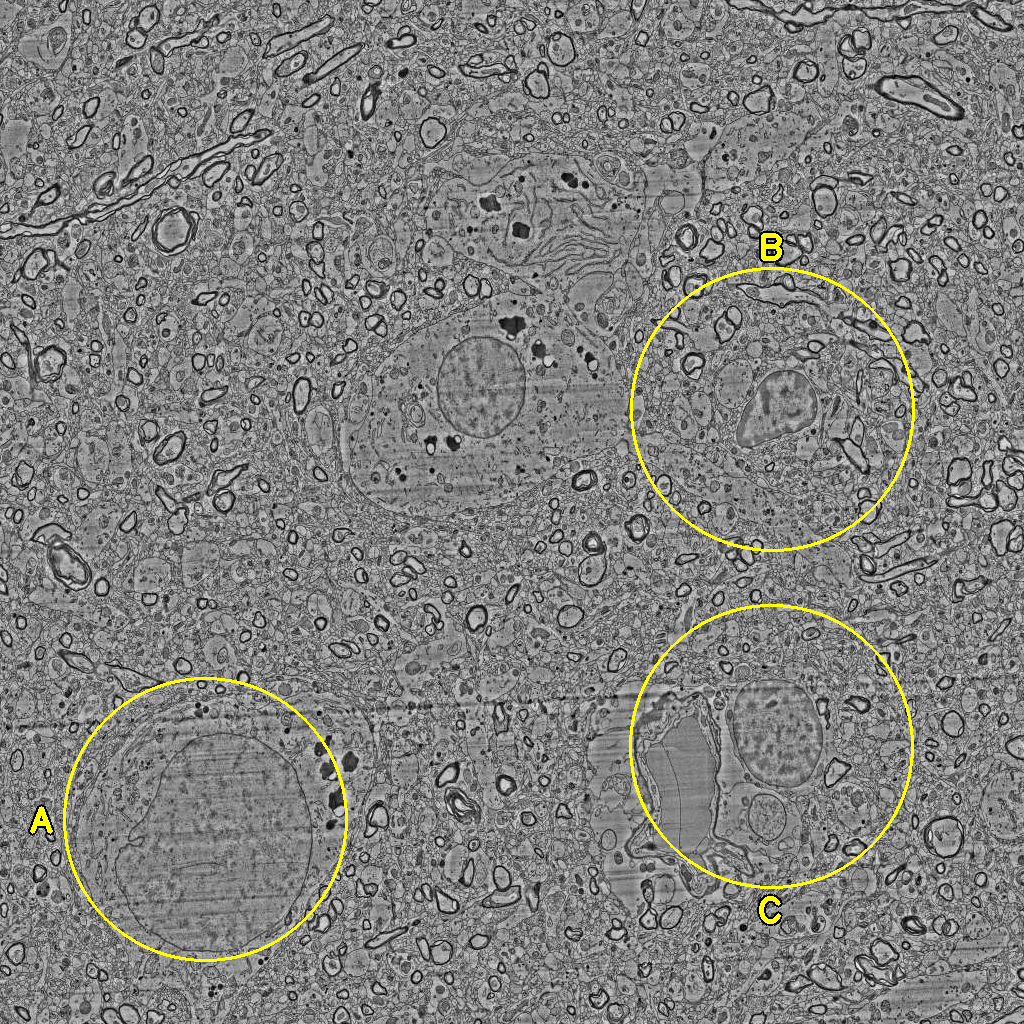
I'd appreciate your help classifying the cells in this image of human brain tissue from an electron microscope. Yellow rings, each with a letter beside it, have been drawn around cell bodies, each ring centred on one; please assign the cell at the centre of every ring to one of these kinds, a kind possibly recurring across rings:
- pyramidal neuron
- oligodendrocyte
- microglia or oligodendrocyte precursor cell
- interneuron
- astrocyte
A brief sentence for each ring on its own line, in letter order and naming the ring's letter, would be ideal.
In ring A, the central cell is a pyramidal neuron.
In ring B, the central cell is a microglial cell or oligodendrocyte precursor cell.
In ring C, the central cell is an oligodendrocyte.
